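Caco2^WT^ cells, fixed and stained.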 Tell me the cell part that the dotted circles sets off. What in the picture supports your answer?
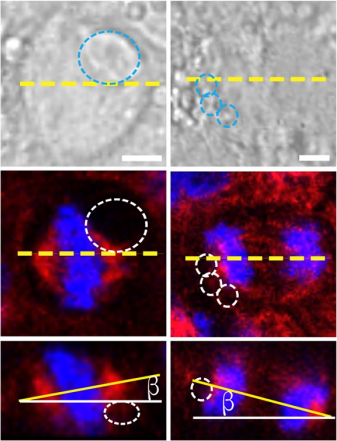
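The circles enclose round spaces in the cytoplasm. The red cytoplasmic staining is missing inside the circled spaces. In bright field the circled spaces are smooth round bubbles.
Large vacuoles.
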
